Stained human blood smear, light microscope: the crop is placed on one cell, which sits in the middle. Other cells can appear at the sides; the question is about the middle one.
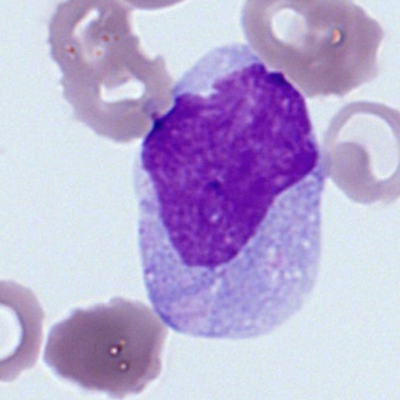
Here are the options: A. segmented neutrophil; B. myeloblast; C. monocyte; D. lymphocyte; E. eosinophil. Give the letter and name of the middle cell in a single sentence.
The centered cell is a monocyte, which is why option C is right.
